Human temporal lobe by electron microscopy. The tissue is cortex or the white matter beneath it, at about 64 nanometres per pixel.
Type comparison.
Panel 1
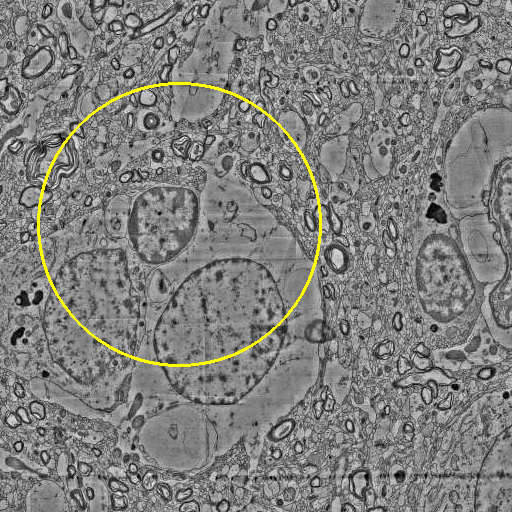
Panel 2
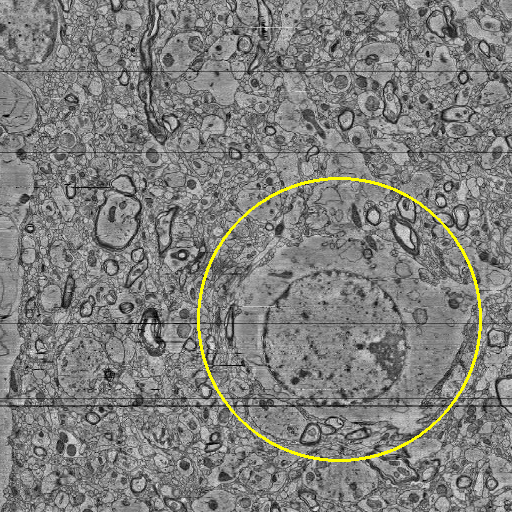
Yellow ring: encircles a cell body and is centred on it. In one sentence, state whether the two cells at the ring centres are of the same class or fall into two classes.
In these panels, the two cells at the ring centres fall into two classes.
